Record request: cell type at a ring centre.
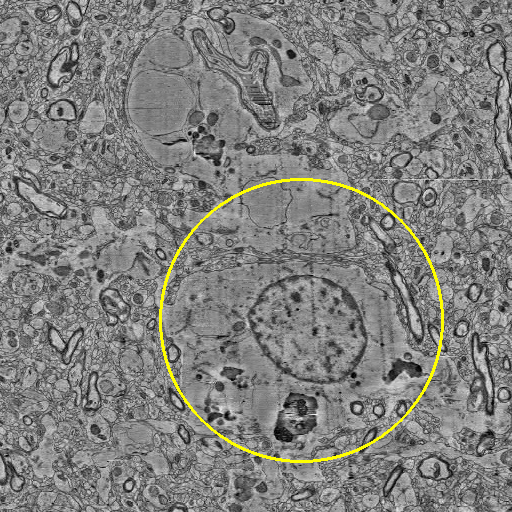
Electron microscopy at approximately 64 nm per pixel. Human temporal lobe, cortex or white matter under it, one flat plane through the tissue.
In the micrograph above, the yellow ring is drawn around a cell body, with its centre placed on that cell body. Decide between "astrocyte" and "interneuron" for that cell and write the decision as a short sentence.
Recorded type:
The cell centred in the yellow ring is an astrocyte.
